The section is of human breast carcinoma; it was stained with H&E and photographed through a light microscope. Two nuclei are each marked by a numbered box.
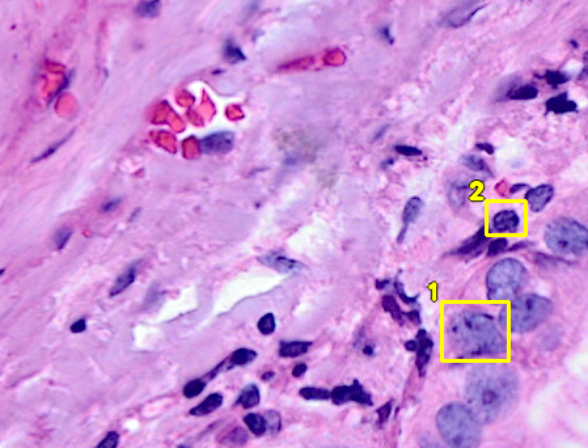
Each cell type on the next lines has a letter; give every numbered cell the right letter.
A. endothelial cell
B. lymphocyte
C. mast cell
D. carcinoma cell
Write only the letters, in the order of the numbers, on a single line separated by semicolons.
D; B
